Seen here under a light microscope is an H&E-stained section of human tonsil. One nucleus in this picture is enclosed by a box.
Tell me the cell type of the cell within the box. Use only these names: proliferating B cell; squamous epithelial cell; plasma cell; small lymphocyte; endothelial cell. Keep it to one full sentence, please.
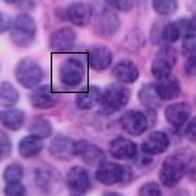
Within the stained tissue, the cell within the box is a small lymphocyte.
